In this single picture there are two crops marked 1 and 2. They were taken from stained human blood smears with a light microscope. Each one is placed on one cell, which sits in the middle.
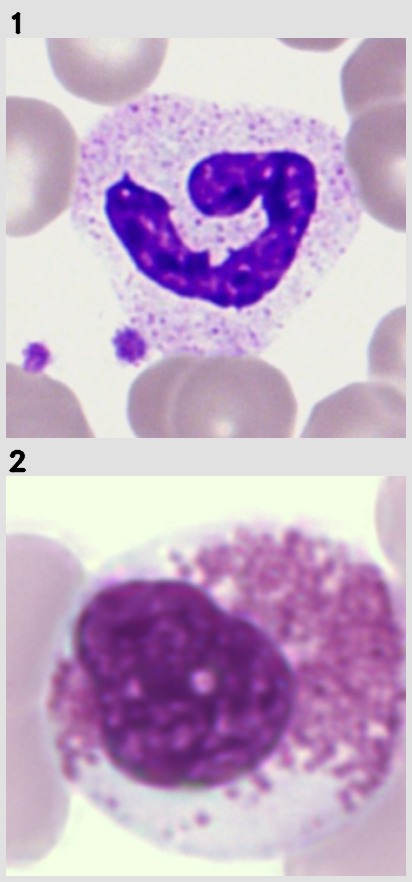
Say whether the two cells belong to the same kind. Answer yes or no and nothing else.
no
